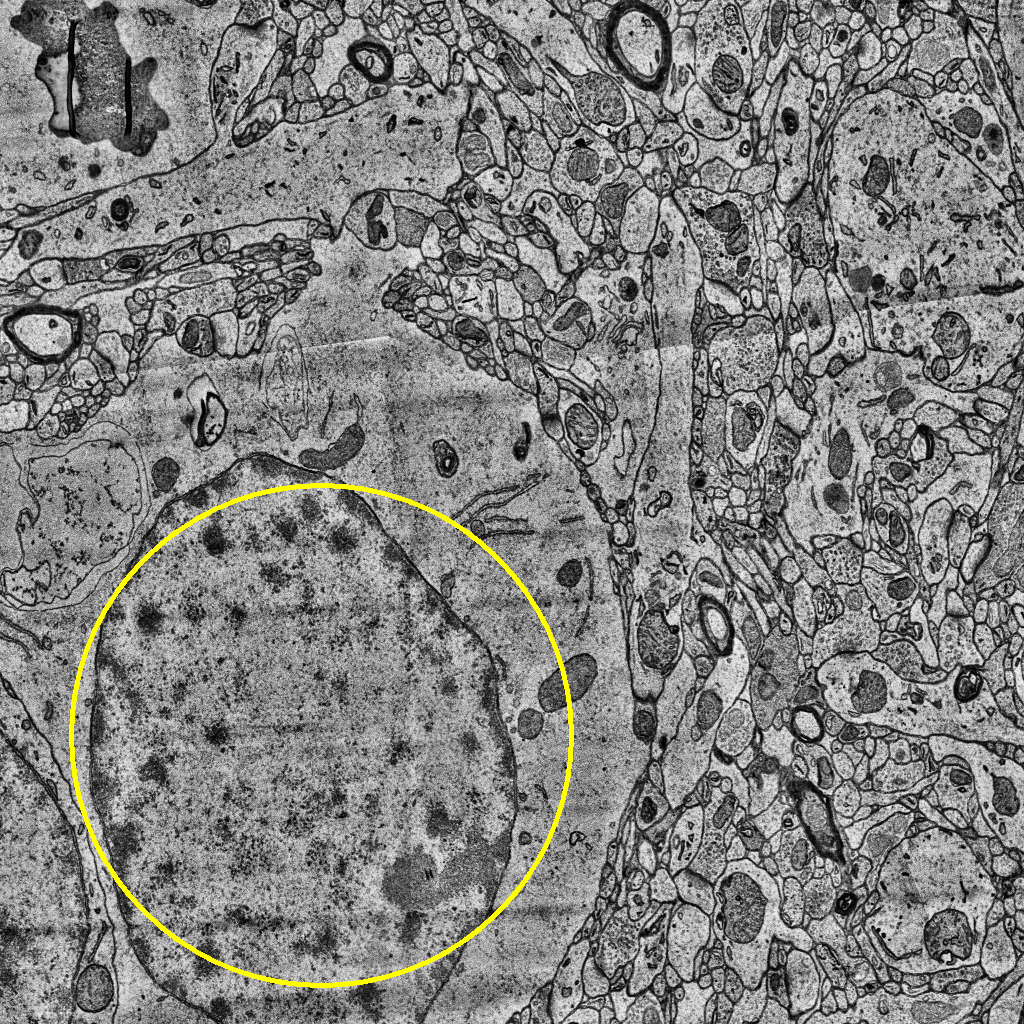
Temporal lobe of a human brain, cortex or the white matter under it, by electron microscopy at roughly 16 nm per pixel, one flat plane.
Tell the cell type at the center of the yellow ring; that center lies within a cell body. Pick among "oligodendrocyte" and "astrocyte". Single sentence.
The ring's center lies in the body of an astrocyte.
